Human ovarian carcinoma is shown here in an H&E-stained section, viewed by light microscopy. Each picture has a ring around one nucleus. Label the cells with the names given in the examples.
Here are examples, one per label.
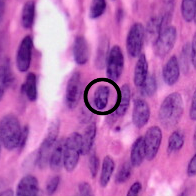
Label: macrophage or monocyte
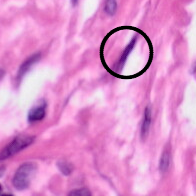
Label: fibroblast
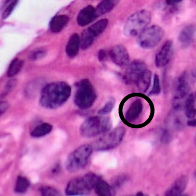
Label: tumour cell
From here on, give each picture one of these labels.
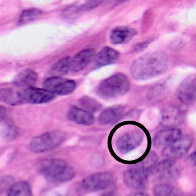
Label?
macrophage or monocyte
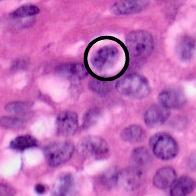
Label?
macrophage or monocyte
